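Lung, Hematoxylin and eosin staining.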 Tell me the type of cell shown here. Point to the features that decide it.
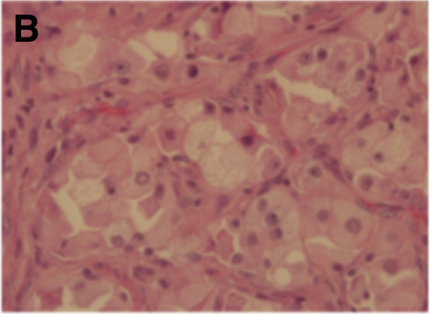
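Large polygonal cells with pale, clear-looking cytoplasm. Cells of varying size and shape arranged in nests separated by thin pink septa.
Hence: clear tumor cells.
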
